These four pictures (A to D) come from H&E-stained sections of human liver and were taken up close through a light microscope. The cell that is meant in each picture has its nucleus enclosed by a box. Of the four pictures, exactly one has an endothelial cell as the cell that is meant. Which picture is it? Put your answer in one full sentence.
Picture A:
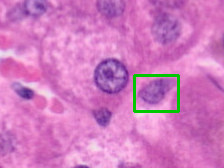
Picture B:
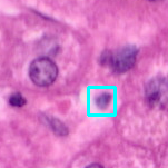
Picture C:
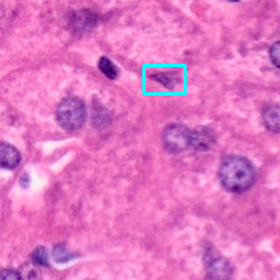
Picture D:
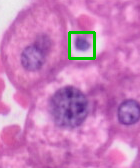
It is picture C that shows the endothelial cell.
